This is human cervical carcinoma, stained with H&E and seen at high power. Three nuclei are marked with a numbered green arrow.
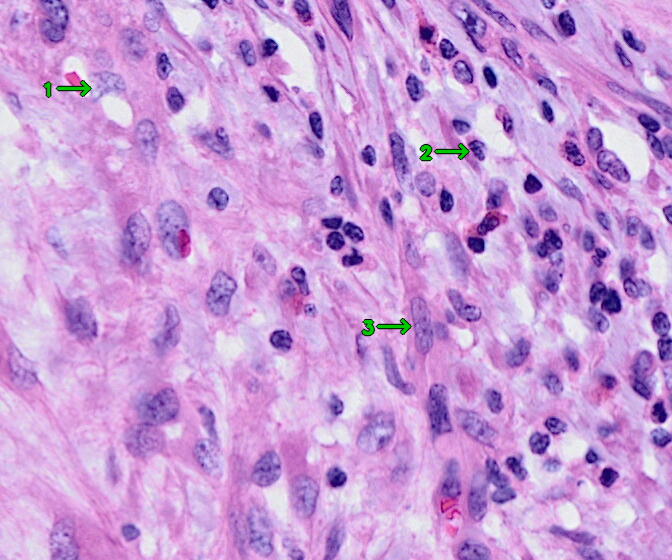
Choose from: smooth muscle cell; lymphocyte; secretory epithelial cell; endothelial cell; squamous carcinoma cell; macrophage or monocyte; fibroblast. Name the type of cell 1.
endothelial cell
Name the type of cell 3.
endothelial cell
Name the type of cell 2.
lymphocyte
